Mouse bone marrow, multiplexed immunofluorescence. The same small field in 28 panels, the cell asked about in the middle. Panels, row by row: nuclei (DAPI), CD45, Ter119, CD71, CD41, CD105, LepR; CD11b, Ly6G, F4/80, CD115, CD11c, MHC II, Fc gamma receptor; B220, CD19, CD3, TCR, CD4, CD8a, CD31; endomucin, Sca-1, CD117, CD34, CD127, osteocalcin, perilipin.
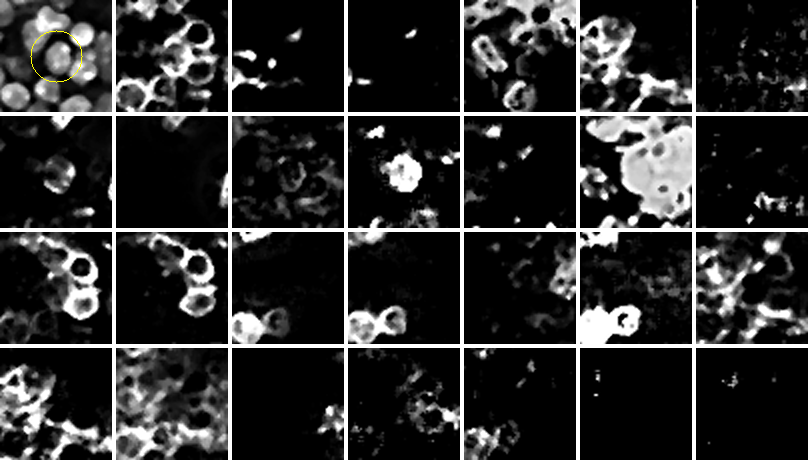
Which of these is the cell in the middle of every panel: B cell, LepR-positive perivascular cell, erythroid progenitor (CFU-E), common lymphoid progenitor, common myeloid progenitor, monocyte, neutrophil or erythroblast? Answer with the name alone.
monocyte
